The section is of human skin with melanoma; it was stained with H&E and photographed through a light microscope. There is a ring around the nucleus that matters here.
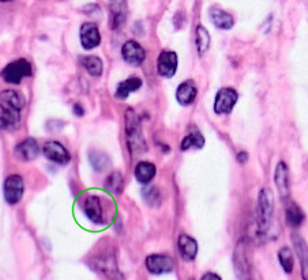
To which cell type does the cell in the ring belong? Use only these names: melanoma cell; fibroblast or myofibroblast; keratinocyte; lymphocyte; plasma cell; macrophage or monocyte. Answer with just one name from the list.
plasma cell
